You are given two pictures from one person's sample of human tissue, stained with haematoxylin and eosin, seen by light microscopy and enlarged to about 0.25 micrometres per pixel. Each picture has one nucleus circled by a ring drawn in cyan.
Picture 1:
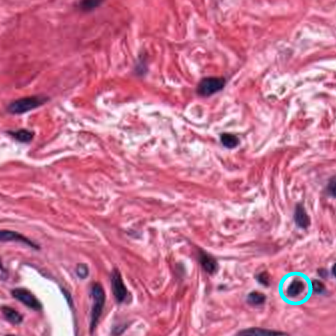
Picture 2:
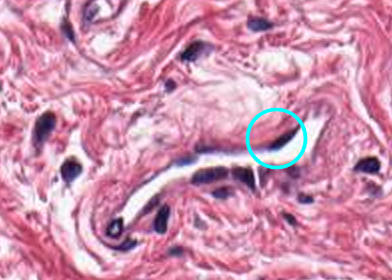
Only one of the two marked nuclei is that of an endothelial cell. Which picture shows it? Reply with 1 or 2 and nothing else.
2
